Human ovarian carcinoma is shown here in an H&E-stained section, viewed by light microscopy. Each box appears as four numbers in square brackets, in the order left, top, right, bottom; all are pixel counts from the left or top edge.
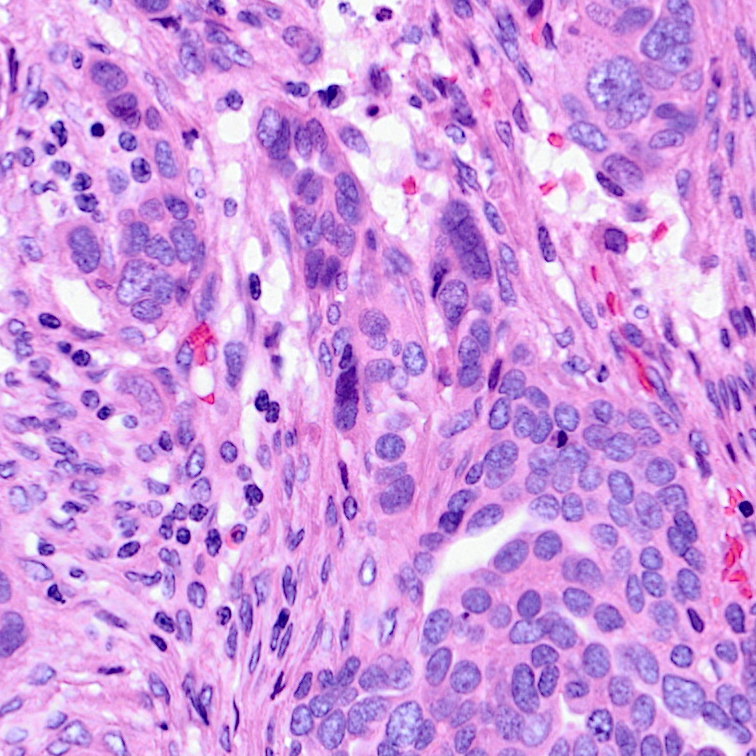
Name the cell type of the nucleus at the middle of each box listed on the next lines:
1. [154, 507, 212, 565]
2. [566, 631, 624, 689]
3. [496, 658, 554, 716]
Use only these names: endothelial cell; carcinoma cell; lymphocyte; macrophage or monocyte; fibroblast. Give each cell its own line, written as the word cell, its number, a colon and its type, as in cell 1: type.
cell 1: lymphocyte
cell 2: carcinoma cell
cell 3: carcinoma cell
